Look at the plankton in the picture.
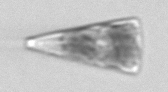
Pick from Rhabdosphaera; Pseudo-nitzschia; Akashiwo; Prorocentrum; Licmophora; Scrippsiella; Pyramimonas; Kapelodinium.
Licmophora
